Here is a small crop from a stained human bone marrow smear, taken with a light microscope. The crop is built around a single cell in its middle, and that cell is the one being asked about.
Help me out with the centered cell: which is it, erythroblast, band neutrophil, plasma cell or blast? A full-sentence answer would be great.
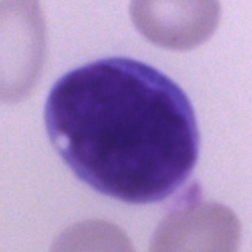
At the crop's centre, the cell is a blast.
